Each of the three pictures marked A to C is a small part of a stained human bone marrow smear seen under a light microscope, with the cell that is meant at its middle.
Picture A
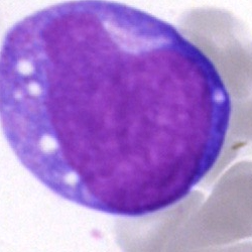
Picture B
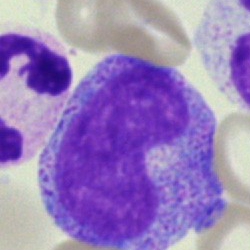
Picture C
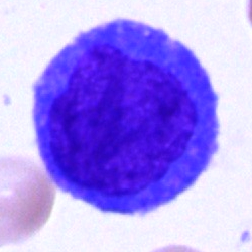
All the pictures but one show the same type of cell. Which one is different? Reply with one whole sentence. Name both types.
The different one is picture B; it shows a promyelocyte, whereas all the others show blasts.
